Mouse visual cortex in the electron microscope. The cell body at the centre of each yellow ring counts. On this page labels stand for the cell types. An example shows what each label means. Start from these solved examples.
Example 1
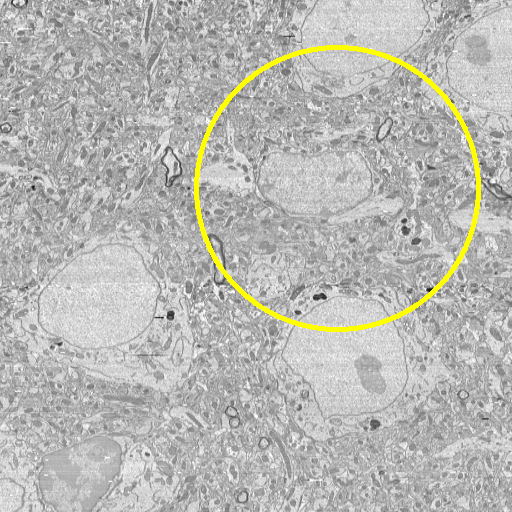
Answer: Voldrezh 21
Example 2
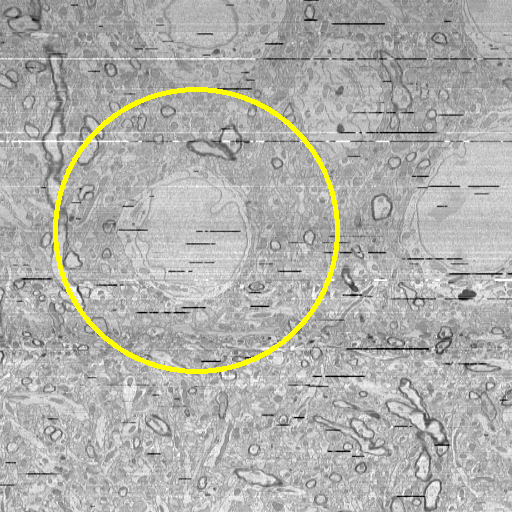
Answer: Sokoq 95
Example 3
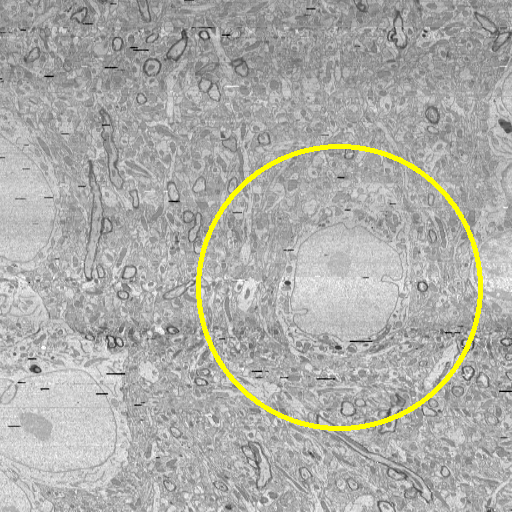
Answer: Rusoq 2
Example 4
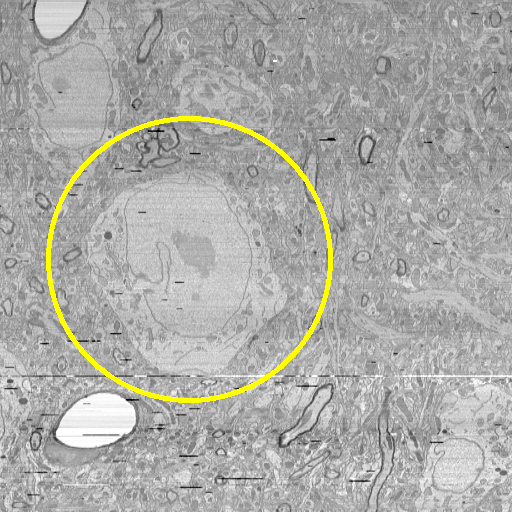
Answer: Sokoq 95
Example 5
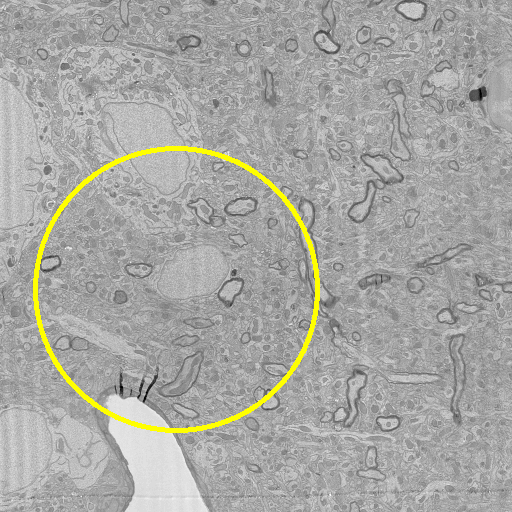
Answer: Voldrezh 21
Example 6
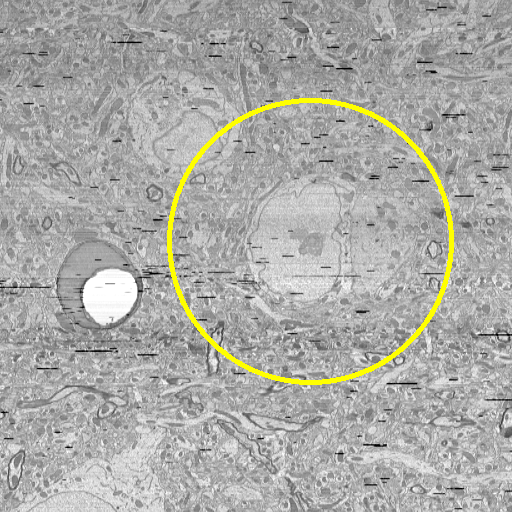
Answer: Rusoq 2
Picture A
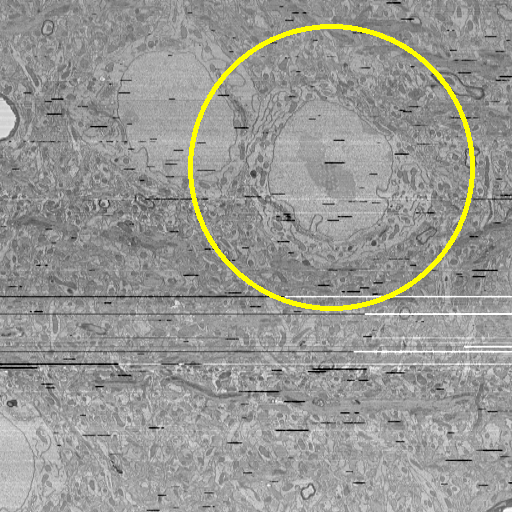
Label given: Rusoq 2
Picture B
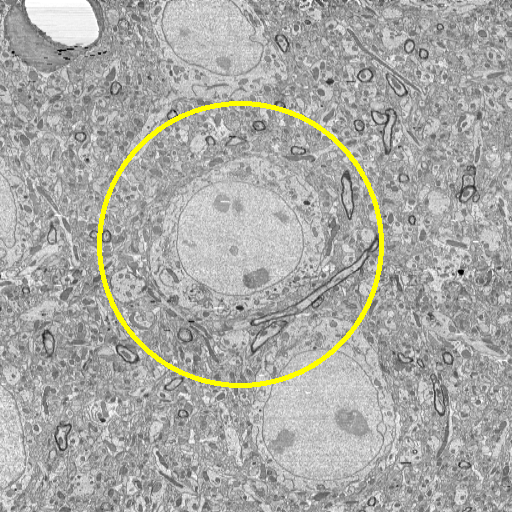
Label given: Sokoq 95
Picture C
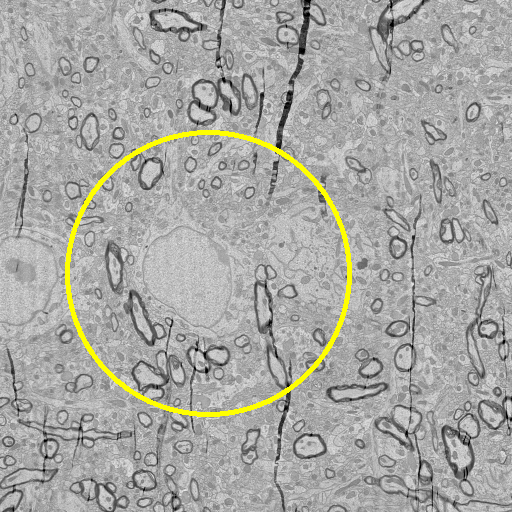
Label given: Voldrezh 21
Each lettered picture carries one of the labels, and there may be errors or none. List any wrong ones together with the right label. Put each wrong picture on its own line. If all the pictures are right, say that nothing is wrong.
All correct.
